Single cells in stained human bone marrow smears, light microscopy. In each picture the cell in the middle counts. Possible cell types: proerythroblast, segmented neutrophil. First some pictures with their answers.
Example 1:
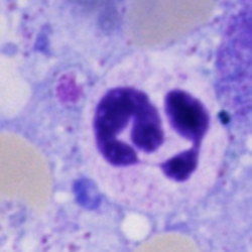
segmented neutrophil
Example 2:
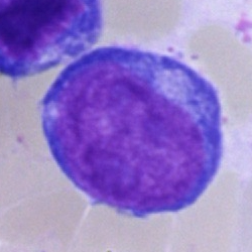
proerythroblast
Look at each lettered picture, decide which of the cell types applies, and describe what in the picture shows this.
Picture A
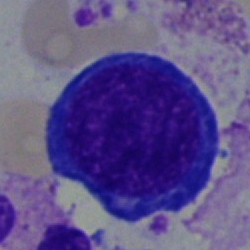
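Answer: proerythroblast. The cytoplasm forms only a narrow rim around the nucleus.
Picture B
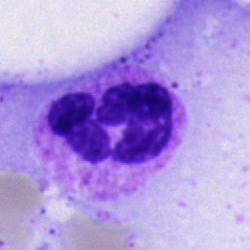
Answer: segmented neutrophil. The cytoplasm holds many fine pinkish-violet granules spread evenly.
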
